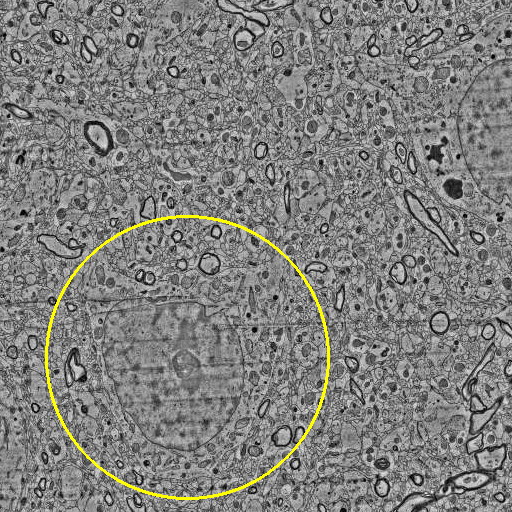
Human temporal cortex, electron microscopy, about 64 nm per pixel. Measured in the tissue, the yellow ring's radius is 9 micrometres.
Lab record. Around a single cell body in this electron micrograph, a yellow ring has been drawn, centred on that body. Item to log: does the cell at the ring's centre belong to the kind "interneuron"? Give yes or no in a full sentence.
Yes, in the micrograph, the ringed cell at the centre belongs to that kind.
